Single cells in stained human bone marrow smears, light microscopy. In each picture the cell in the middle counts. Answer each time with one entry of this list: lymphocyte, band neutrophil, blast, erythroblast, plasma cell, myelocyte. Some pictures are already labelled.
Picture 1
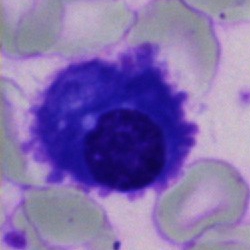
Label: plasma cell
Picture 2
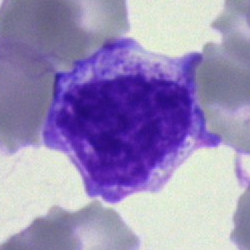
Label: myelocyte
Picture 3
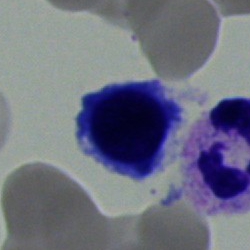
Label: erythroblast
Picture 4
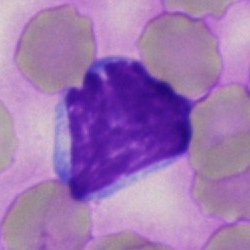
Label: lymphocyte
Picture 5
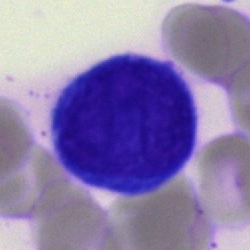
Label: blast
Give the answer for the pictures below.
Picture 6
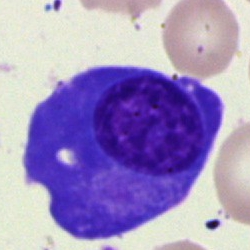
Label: plasma cell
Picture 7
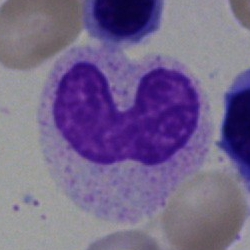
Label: band neutrophil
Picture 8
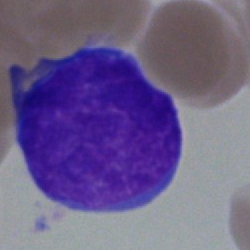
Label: blast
